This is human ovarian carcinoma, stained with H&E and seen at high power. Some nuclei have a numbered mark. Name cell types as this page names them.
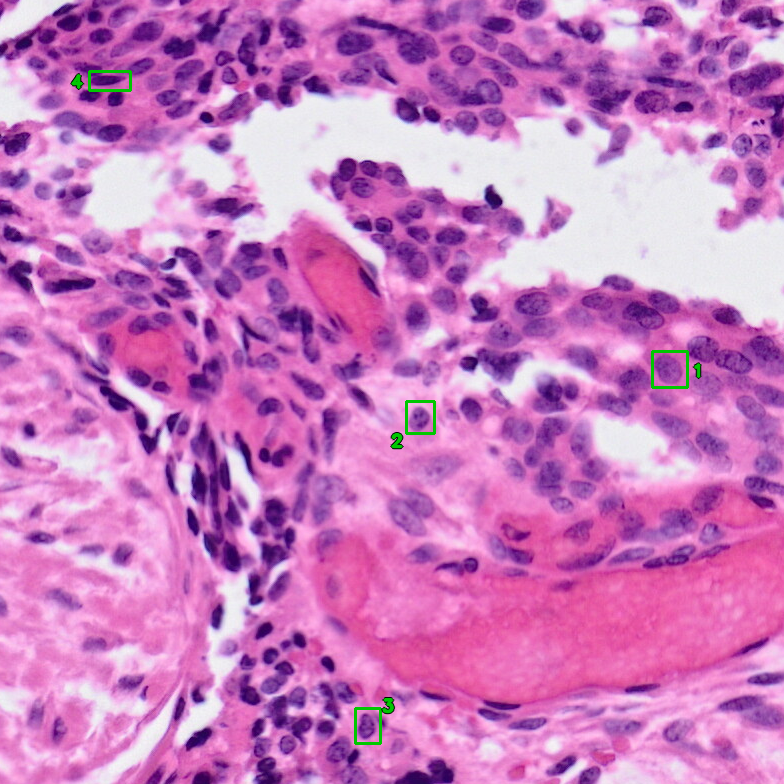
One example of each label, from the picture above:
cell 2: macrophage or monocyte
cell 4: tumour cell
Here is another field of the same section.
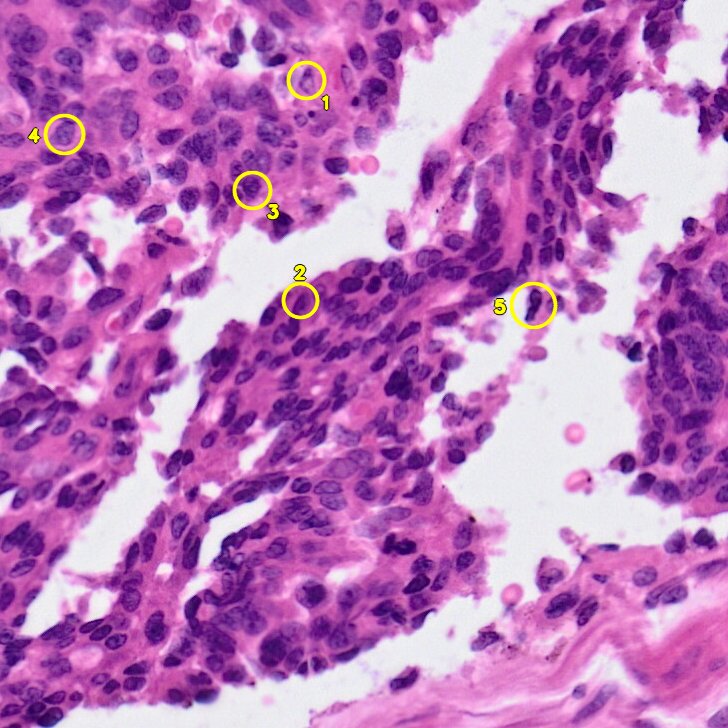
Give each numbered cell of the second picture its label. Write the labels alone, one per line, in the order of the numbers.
macrophage or monocyte
tumour cell
tumour cell
macrophage or monocyte
macrophage or monocyte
